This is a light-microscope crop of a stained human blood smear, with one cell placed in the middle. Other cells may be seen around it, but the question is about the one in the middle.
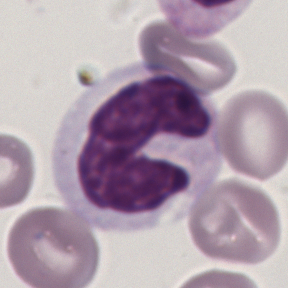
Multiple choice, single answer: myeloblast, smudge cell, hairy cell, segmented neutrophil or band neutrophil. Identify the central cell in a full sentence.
The middle position in this crop is taken by a band neutrophil.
